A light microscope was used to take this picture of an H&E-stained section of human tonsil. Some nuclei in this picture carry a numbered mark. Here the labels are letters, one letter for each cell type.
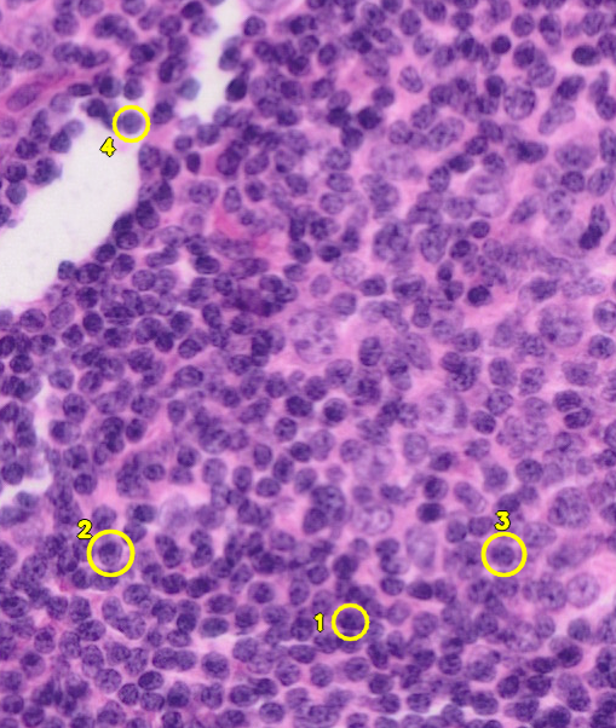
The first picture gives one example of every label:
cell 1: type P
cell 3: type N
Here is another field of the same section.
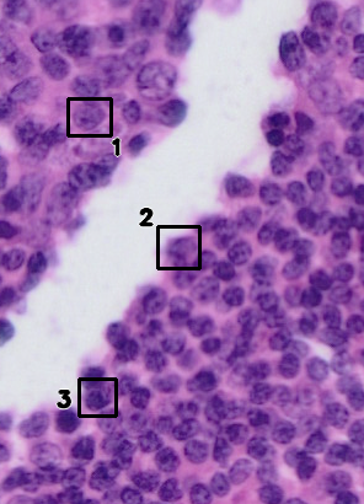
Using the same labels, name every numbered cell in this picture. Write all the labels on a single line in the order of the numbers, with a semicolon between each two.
type N; type N; type P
